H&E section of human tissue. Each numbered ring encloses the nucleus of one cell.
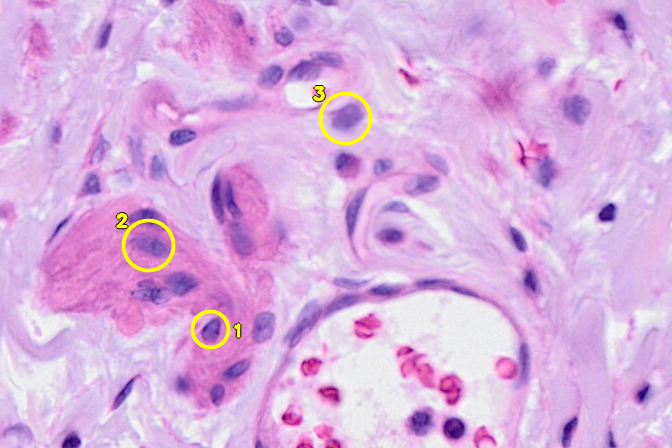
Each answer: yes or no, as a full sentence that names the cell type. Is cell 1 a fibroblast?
No, for cell 1, the correct identification is a smooth muscle cell instead of a fibroblast.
